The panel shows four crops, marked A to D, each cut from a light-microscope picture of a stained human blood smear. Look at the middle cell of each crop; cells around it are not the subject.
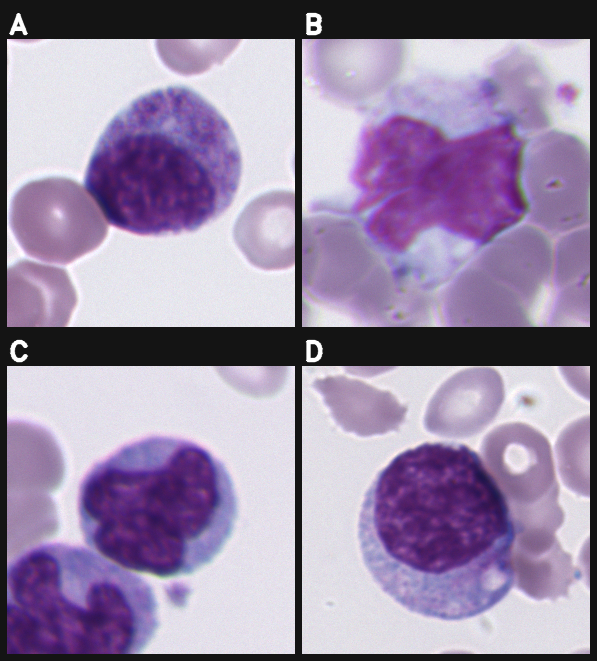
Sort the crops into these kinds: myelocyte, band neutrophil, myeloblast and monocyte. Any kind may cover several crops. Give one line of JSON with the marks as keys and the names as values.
{"A": "myelocyte", "B": "monocyte", "C": "monocyte", "D": "myelocyte"}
